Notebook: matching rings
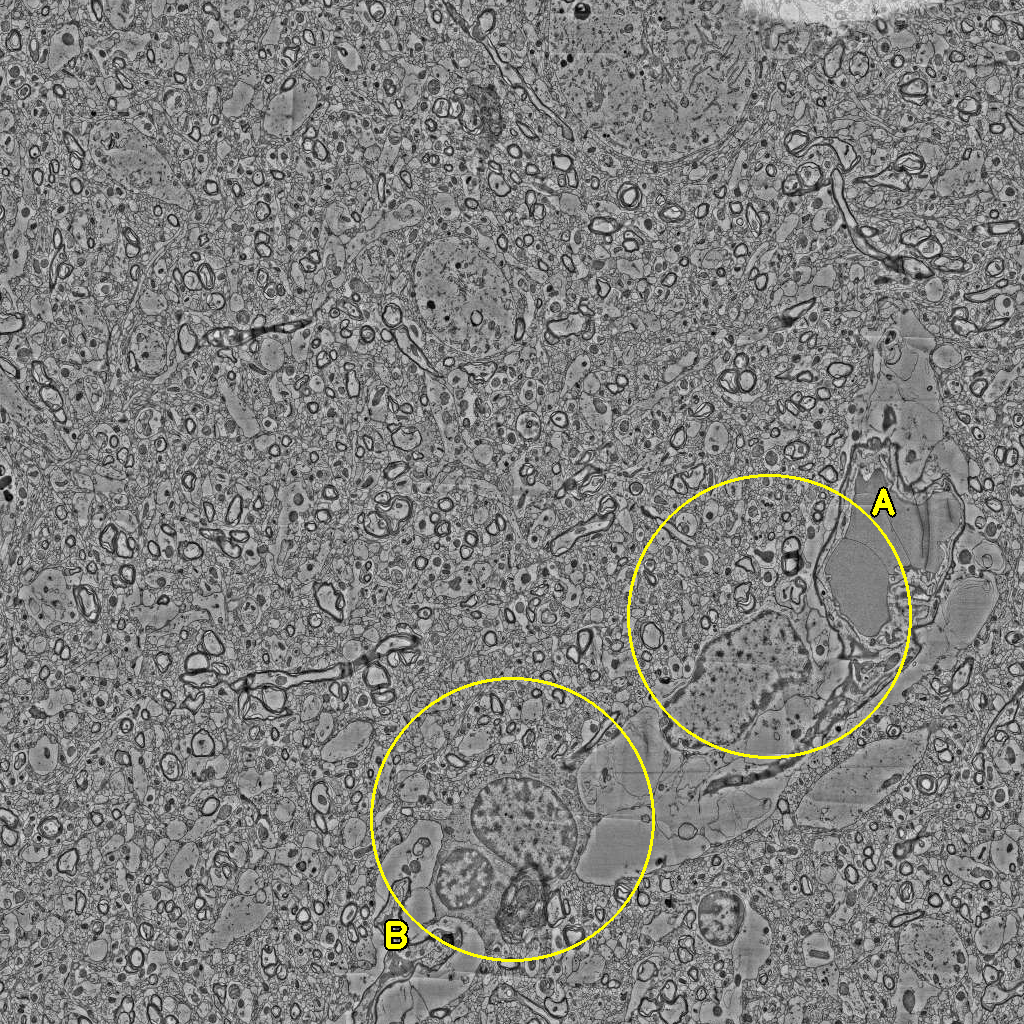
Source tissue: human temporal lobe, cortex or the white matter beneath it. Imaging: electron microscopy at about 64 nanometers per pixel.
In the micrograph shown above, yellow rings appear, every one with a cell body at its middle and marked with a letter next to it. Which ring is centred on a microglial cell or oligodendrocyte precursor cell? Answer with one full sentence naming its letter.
A cell of that kind lies at the centre of the ring lettered A.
